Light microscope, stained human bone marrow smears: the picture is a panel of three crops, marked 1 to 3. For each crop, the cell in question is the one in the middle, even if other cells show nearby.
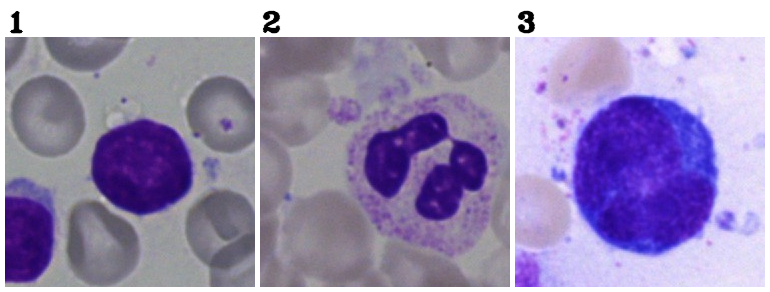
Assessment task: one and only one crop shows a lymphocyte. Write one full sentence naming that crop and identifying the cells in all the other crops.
Centred in crop 1 is a lymphocyte, while crop 2 is a segmented neutrophil and crop 3 is a proerythroblast.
